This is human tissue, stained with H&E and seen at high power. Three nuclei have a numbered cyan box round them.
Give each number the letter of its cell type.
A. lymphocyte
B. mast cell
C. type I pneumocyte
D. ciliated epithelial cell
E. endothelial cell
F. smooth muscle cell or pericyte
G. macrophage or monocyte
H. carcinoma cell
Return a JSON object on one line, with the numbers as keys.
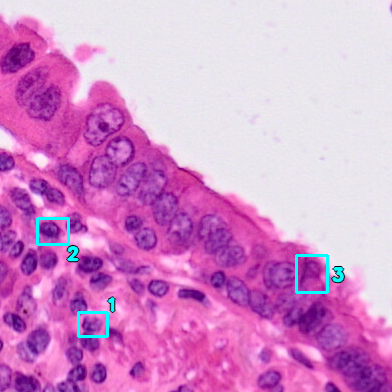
{"1": "A", "2": "A", "3": "D"}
